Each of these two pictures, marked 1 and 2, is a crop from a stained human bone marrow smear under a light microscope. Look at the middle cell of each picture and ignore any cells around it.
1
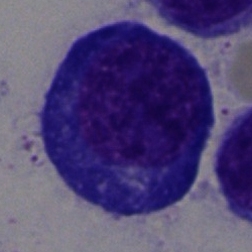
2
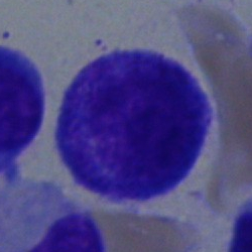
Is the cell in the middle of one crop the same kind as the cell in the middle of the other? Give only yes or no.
no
